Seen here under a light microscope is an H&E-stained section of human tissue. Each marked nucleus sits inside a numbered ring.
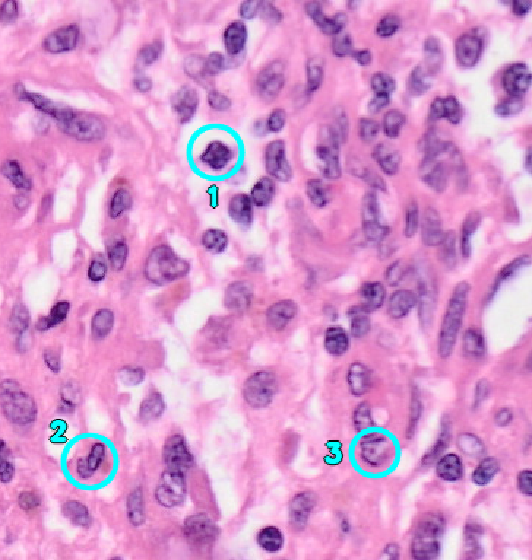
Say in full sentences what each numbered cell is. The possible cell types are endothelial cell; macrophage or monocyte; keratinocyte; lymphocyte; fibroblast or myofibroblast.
Cell 1 is a lymphocyte. Cell 2 is a macrophage or monocyte. Cell 3 is an endothelial cell.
